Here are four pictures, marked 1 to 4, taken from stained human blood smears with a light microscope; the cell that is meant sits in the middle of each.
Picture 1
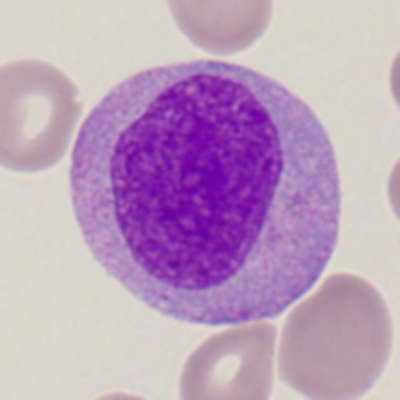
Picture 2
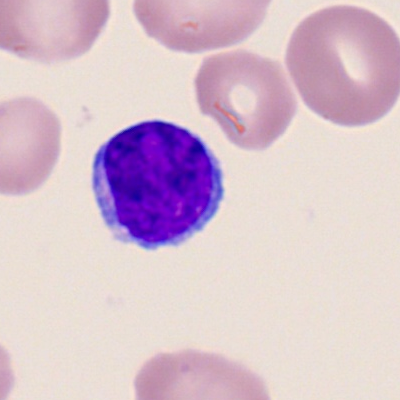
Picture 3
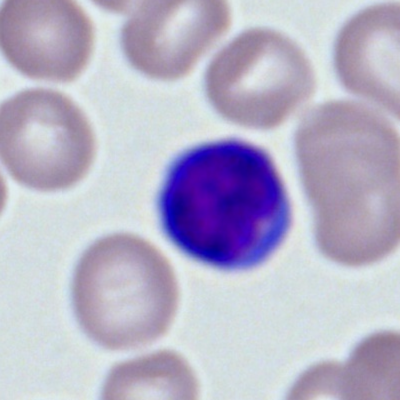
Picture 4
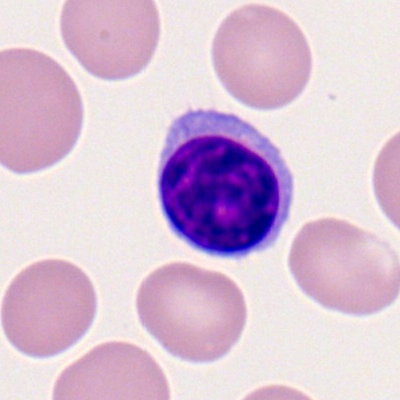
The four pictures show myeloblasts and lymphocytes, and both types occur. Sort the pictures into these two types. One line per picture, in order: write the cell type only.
myeloblast
lymphocyte
lymphocyte
lymphocyte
